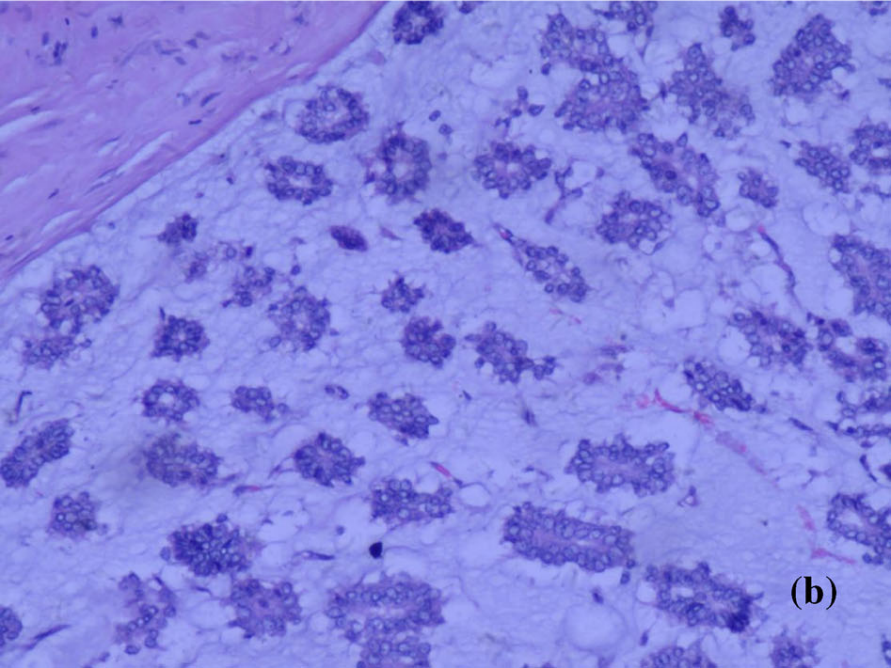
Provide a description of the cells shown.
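Here we see tumor cells arranged in small micropapillary and pseudoglandular clusters floating within pale, mucin-filled spaces. Each cluster is a compact ball or short strip of cells with round, purple-stained nuclei, and many clusters form a ring around a tiny central lumen. The clusters have no central core of connective tissue or blood vessels; they simply lie in the pale bluish, wispy extracellular material. At the upper left corner a band of pink, dense fibrous stroma with scattered spindle-shaped nuclei borders the mucinous area. Thin pink strands run between some of the clusters.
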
